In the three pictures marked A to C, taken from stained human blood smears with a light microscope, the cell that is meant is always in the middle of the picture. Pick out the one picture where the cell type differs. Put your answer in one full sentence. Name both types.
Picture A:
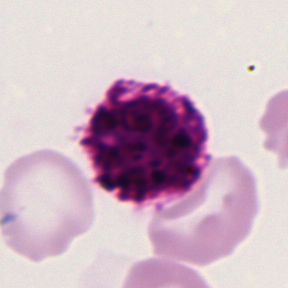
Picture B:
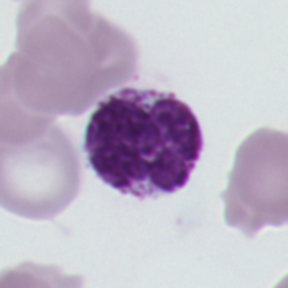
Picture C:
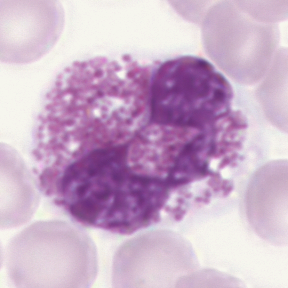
The different one is picture C; it shows an eosinophil, whereas all the others show basophils.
